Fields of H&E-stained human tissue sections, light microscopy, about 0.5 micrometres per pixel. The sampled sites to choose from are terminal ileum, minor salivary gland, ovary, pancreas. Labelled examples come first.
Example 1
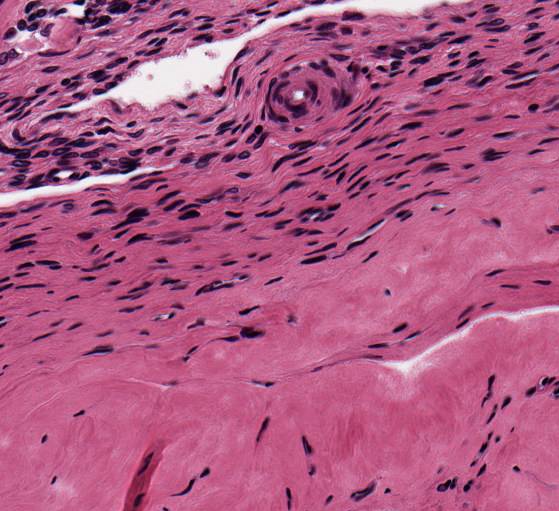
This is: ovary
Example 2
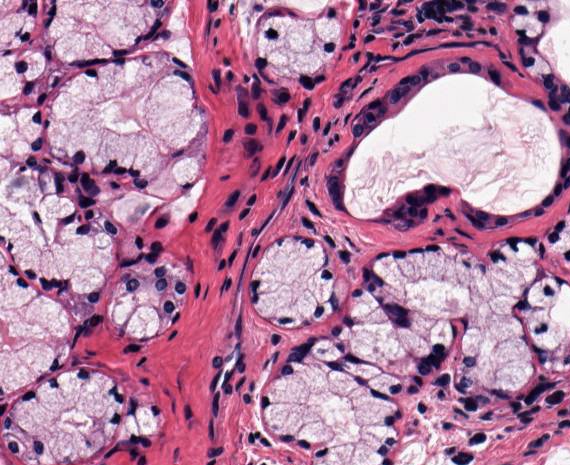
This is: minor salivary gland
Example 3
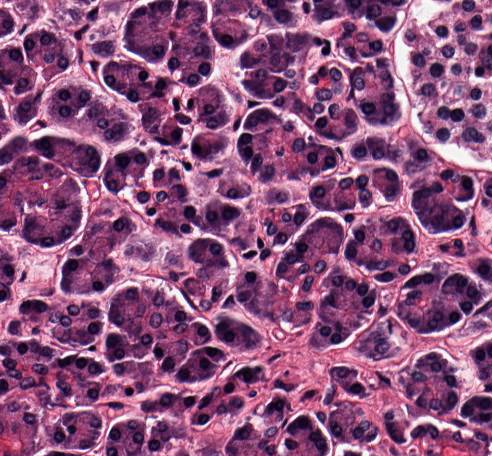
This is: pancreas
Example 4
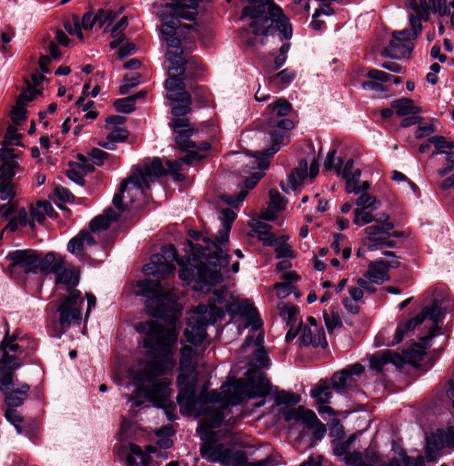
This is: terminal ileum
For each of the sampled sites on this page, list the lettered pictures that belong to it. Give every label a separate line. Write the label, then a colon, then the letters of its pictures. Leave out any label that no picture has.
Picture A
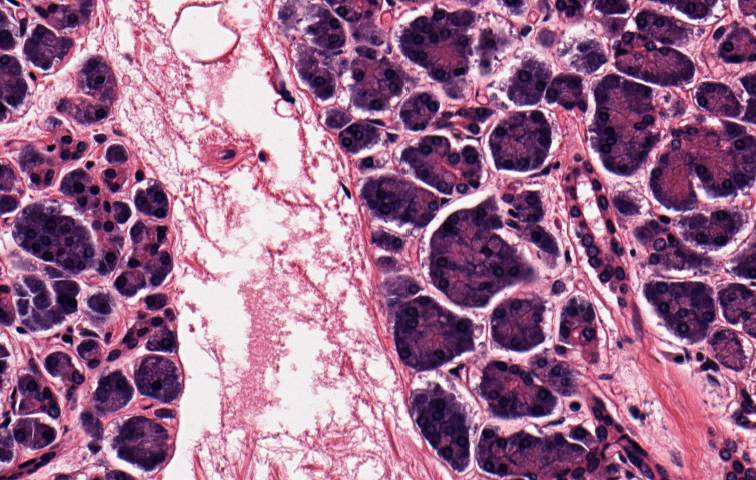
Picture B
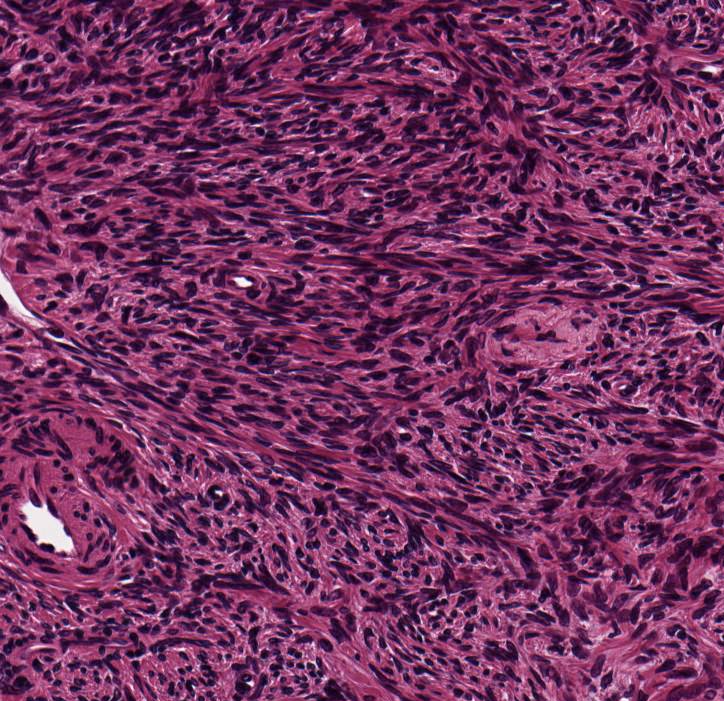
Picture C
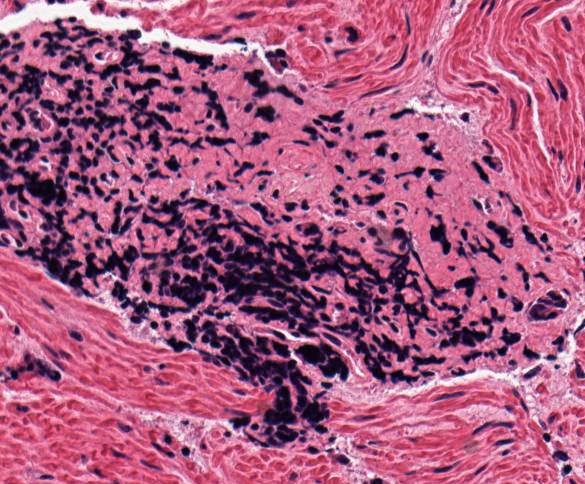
terminal ileum: C
ovary: B
pancreas: A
